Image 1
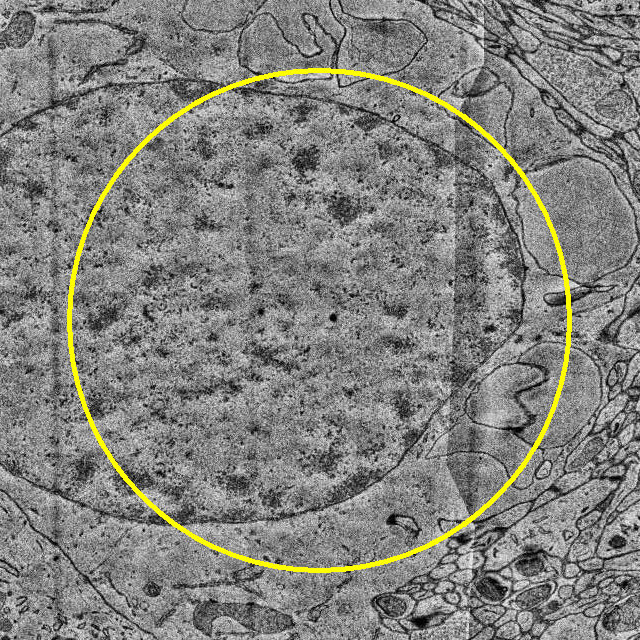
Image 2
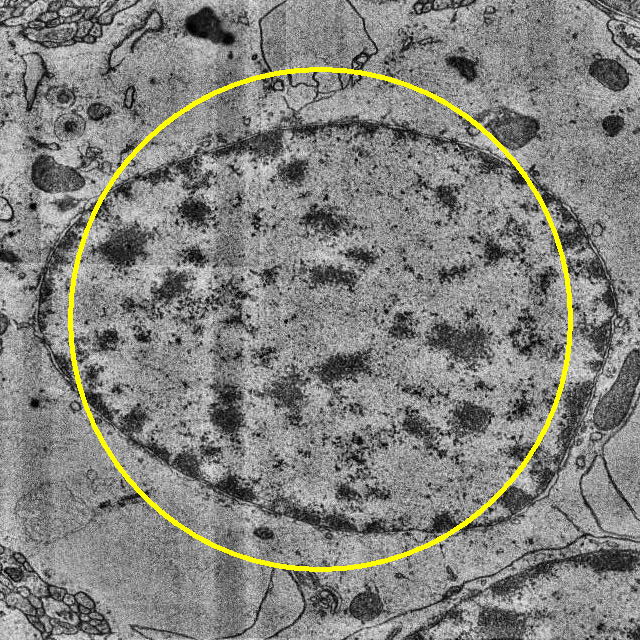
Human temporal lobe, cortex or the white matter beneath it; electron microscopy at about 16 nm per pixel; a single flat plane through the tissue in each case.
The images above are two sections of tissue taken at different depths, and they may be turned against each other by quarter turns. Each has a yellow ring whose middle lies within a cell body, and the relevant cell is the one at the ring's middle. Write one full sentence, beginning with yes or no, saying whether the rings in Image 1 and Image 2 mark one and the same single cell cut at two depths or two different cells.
No, the pair of yellow rings marks two distinct cells.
